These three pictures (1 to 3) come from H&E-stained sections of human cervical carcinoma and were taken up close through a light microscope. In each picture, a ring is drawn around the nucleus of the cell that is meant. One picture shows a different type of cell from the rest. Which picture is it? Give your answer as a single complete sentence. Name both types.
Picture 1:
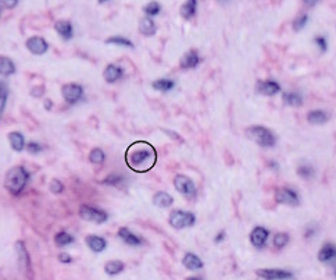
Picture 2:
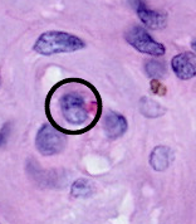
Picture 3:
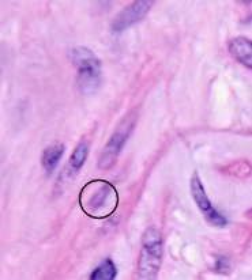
Picture 2 differs, because its cell is an endothelial cell and the rest are smooth muscle cells.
